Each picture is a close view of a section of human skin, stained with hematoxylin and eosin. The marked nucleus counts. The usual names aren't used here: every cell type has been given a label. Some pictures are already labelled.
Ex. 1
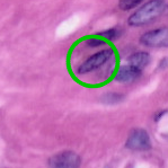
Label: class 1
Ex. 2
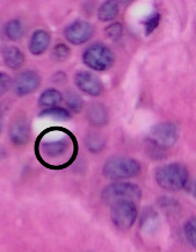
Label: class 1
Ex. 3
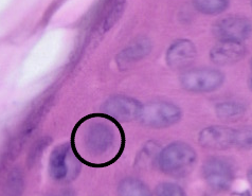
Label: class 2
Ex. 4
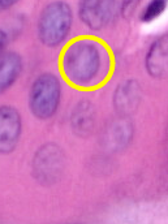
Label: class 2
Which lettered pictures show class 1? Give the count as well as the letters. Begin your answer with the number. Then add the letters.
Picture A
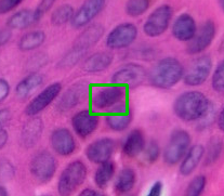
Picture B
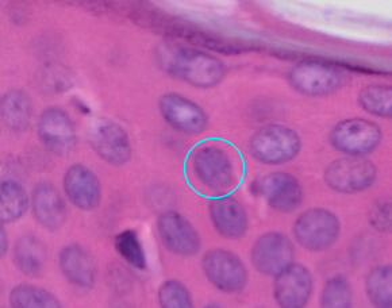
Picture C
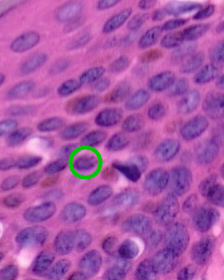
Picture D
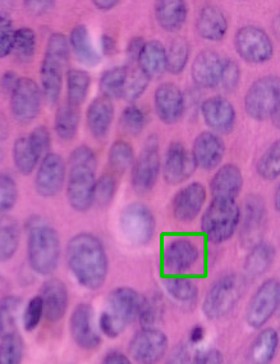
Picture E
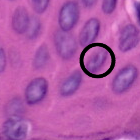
Count: 3 (A, C, D)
